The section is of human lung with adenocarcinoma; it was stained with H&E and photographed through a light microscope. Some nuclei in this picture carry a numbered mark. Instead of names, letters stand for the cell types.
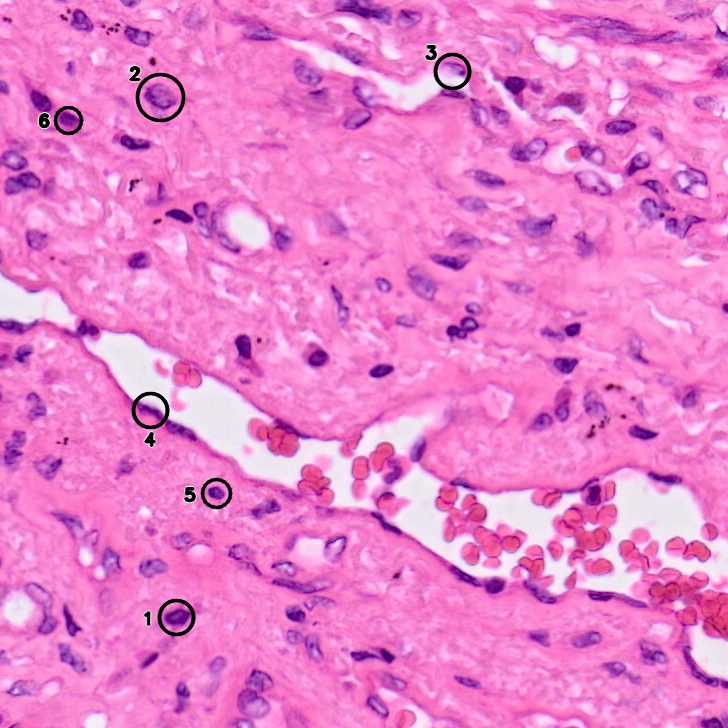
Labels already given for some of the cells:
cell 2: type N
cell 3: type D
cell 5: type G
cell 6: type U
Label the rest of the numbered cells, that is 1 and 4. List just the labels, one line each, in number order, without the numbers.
type U
type D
